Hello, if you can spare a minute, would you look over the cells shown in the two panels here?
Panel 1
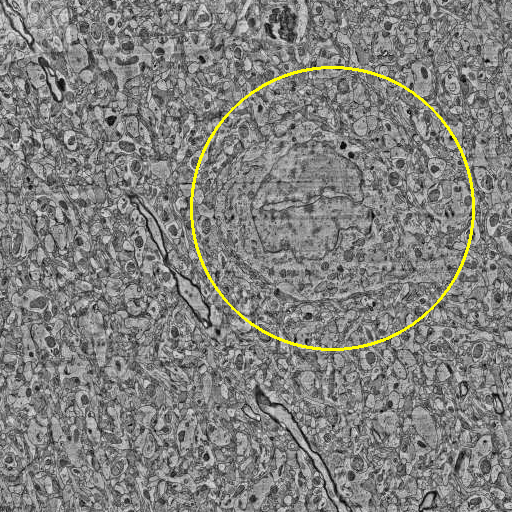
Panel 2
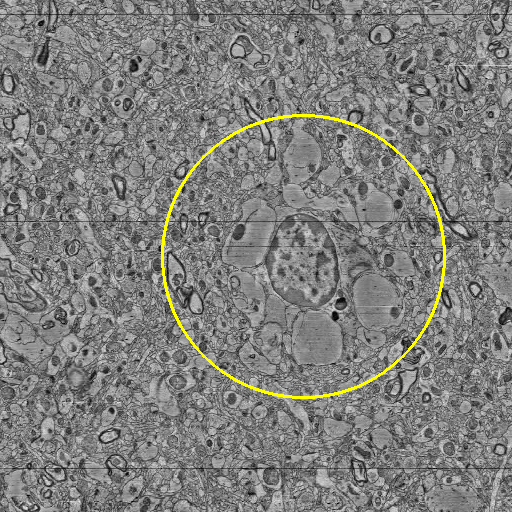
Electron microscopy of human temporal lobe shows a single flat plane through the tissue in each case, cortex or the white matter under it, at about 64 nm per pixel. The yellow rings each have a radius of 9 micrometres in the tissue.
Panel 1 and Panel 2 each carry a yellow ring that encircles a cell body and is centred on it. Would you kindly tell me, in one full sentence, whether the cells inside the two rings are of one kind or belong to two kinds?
The cells at the centres of the rings in Panel 1 and Panel 2 belong to two kinds.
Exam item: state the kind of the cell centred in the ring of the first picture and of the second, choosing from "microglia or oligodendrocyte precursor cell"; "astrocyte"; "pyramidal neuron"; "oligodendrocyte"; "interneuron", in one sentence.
The first picture shows an interneuron at the ring centre and the second shows a microglial cell or oligodendrocyte precursor cell.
